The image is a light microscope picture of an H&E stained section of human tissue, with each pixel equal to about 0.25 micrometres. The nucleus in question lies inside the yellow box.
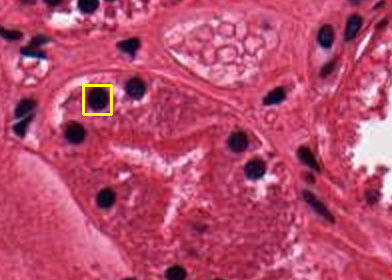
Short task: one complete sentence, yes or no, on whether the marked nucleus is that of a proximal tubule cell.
Yes, the marked nucleus, as shown, belongs to a proximal tubule cell.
